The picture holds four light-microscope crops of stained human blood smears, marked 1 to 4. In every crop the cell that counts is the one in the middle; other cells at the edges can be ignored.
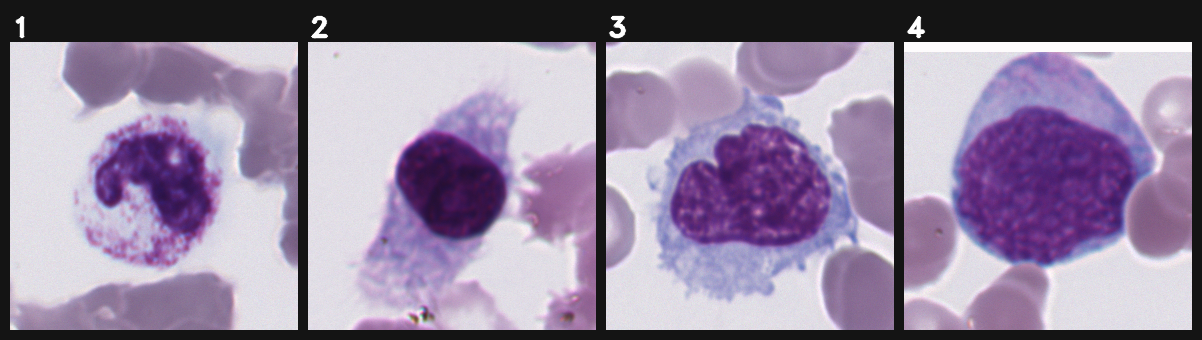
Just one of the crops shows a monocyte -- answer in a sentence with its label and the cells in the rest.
The crop marked 3 contains a monocyte, while crop 1 is a neutrophil, crop 2 is a hairy cell and crop 4 is an atypical promyelocyte.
